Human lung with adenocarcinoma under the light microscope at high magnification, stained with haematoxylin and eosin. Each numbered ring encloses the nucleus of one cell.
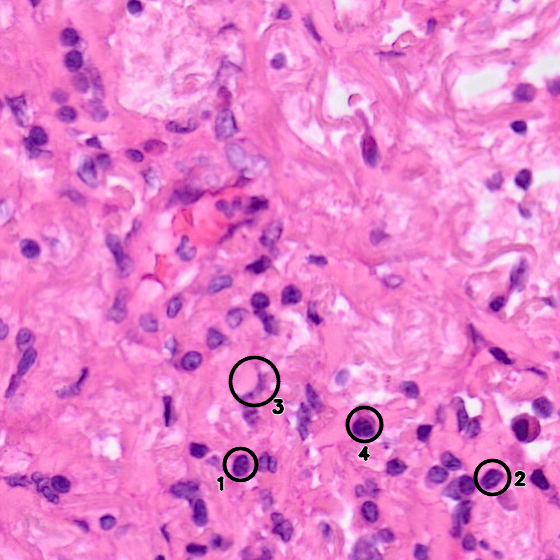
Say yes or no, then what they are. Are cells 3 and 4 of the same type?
No, cell 3 is a fibroblast and cell 4 is a plasma cell.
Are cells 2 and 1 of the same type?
Yes, both are lymphocytes.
